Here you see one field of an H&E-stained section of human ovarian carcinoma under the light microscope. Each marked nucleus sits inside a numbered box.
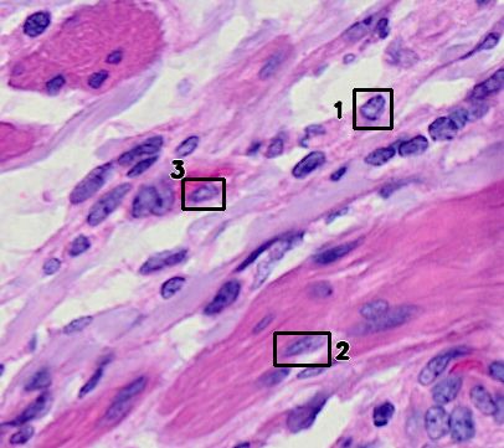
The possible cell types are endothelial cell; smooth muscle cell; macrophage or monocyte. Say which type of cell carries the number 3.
endothelial cell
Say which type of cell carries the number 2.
smooth muscle cell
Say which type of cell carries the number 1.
macrophage or monocyte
